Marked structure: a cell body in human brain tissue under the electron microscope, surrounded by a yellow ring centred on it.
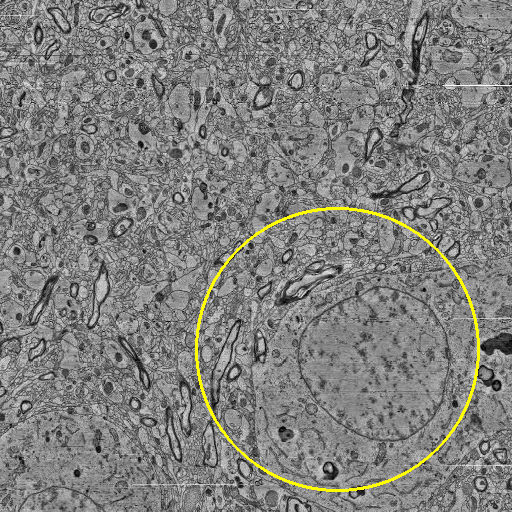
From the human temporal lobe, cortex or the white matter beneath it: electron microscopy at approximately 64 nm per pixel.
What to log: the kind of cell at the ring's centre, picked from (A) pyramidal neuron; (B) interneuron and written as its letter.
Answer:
A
